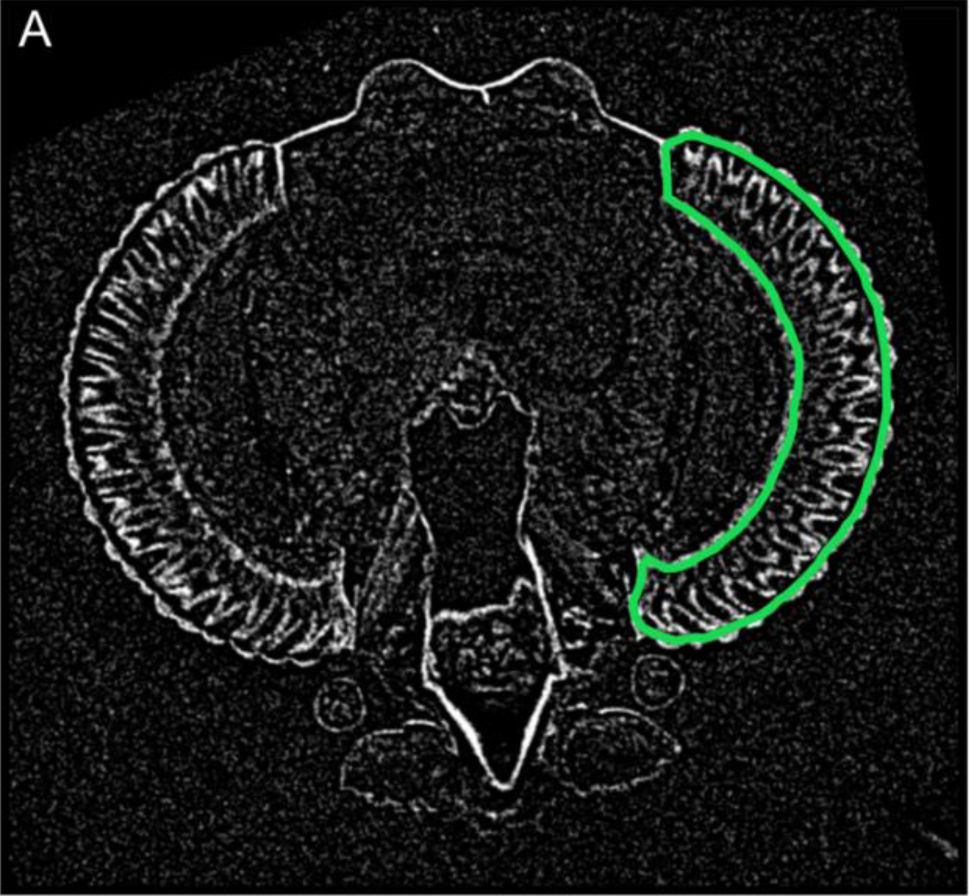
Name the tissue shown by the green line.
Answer: Retina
